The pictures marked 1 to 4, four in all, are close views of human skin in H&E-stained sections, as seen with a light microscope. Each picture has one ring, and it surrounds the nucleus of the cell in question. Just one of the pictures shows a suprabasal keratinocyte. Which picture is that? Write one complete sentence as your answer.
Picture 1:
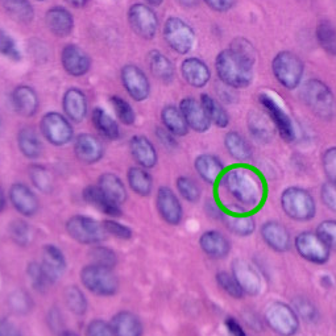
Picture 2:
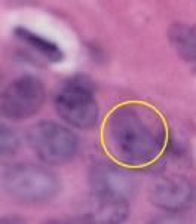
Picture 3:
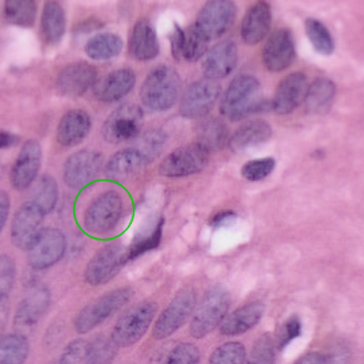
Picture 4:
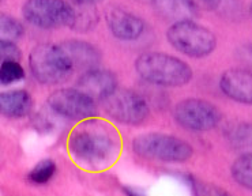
Picture 1 shows the suprabasal keratinocyte.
